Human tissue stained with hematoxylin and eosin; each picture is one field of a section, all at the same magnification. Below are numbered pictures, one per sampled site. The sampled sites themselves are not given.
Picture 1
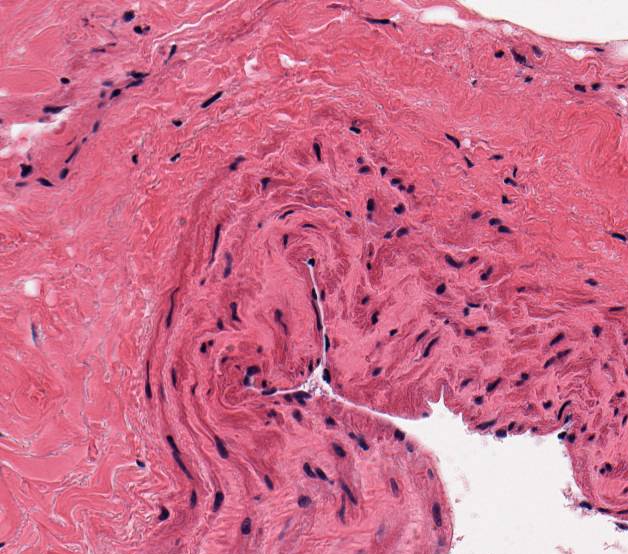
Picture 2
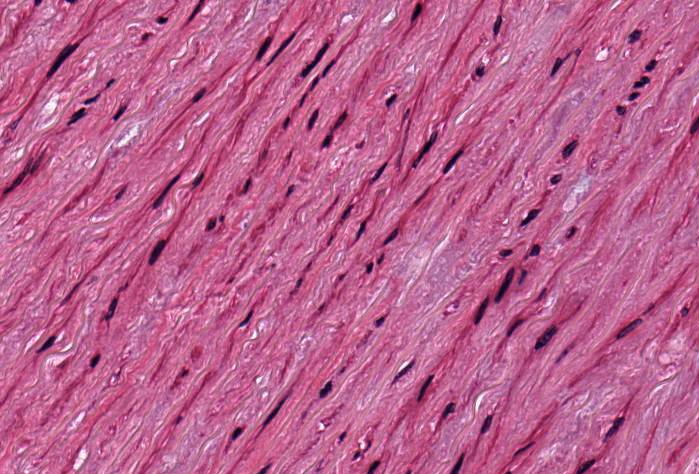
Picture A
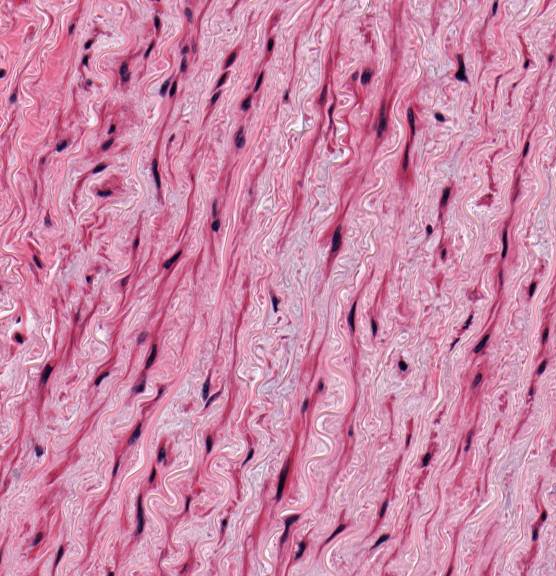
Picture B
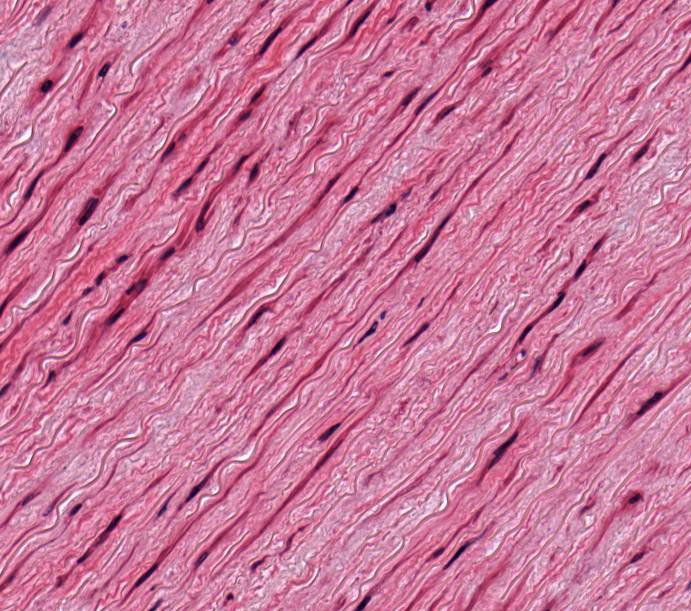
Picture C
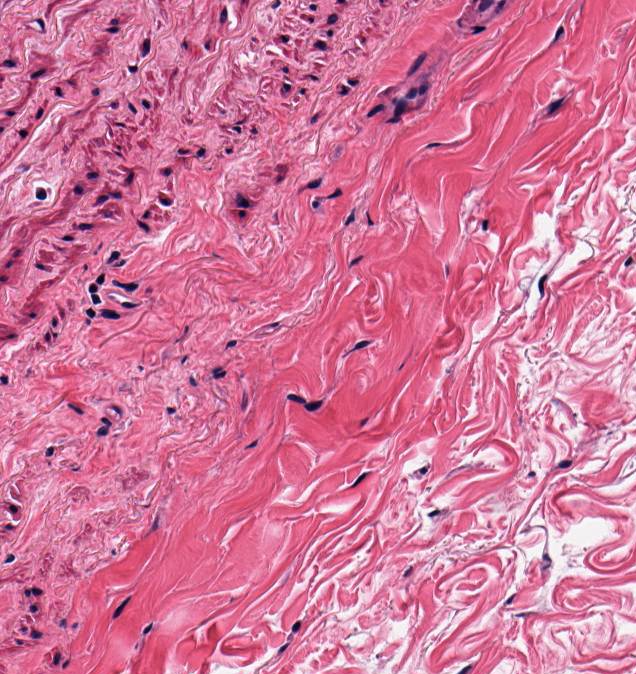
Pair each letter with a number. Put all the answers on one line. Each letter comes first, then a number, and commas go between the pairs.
A 2, B 2, C 2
